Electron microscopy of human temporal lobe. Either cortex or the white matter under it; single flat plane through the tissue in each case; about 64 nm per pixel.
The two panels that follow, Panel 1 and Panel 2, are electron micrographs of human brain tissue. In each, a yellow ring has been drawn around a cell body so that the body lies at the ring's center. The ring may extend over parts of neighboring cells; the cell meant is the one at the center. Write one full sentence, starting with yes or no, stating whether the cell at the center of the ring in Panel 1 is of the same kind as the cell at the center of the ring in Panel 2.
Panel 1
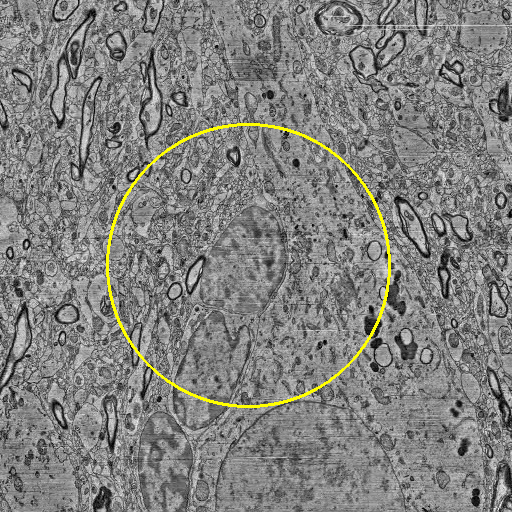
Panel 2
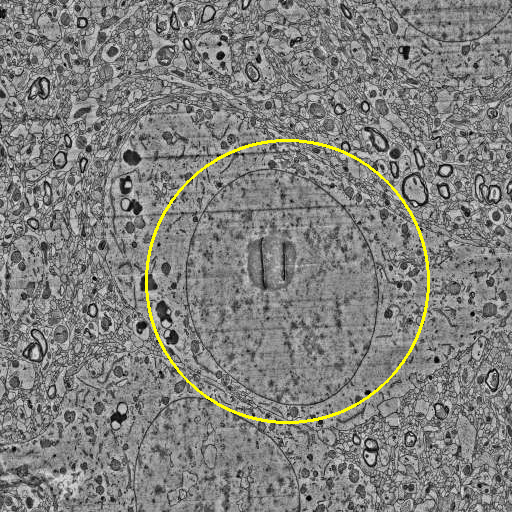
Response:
No, the cells in the two panels are of two kinds.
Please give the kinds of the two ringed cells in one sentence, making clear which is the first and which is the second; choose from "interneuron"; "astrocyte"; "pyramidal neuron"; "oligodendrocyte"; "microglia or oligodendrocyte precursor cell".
In the second picture the ringed cell is a pyramidal neuron; in the first it is an oligodendrocyte.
